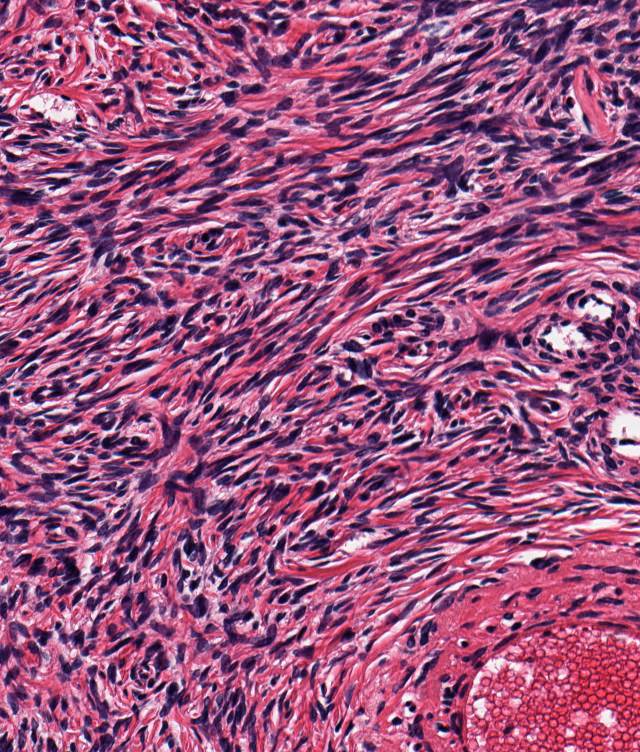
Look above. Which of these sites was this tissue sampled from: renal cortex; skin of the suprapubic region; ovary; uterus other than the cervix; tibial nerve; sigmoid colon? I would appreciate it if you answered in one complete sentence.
Obtained from the ovary, the tissue was sectioned for this slide.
